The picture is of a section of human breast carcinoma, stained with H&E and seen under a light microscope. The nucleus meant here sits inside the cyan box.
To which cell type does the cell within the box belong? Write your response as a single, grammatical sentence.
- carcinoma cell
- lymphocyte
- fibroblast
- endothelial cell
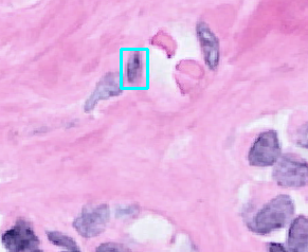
Recorded by type, the cell within the box is an endothelial cell.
